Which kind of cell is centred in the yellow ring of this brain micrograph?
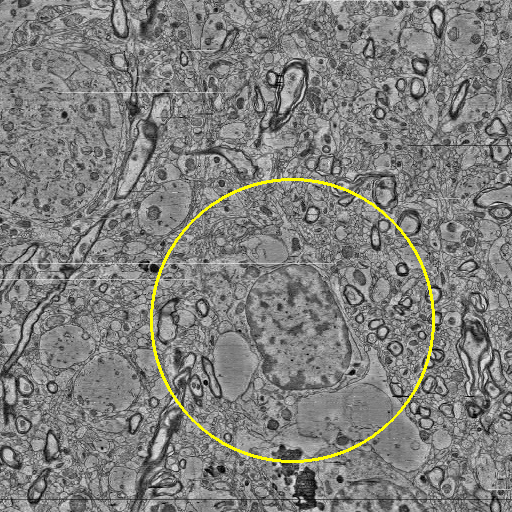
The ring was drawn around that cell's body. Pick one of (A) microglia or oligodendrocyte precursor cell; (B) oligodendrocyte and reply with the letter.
A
